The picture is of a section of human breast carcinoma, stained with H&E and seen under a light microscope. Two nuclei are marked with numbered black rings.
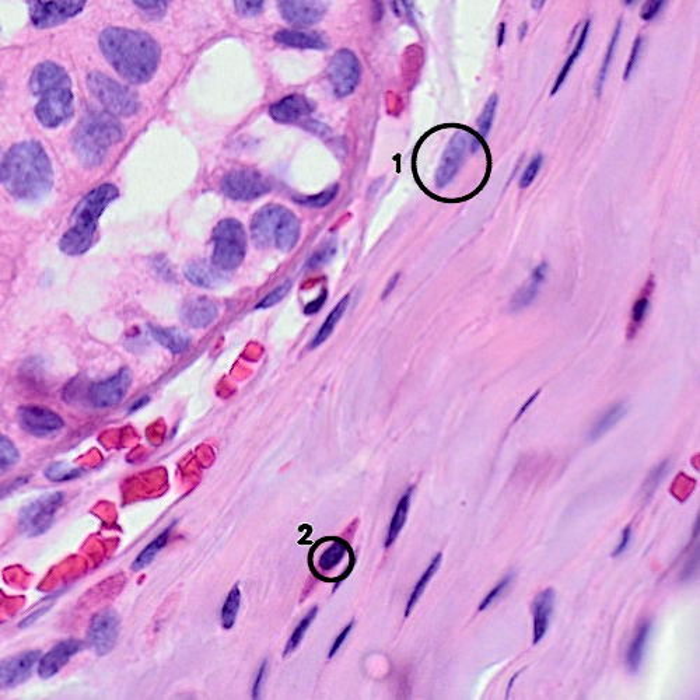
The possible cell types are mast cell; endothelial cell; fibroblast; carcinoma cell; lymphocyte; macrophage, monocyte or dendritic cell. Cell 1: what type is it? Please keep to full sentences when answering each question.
The cell with the number 1 is a fibroblast.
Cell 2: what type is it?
The cell referenced by the number 2 is a mast cell in this field.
